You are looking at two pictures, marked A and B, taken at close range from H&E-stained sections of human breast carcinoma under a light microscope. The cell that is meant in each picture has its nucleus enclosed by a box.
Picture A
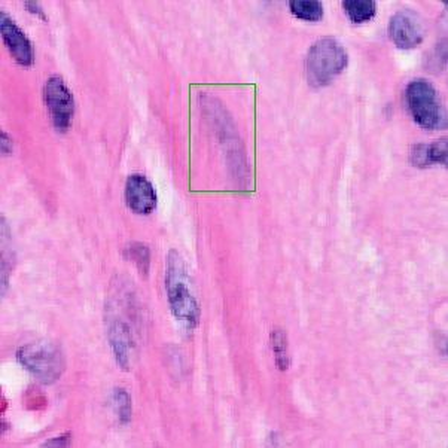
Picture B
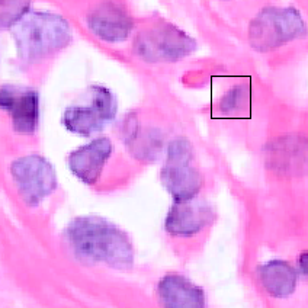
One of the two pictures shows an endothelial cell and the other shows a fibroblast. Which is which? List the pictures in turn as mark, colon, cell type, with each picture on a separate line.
A: fibroblast
B: endothelial cell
